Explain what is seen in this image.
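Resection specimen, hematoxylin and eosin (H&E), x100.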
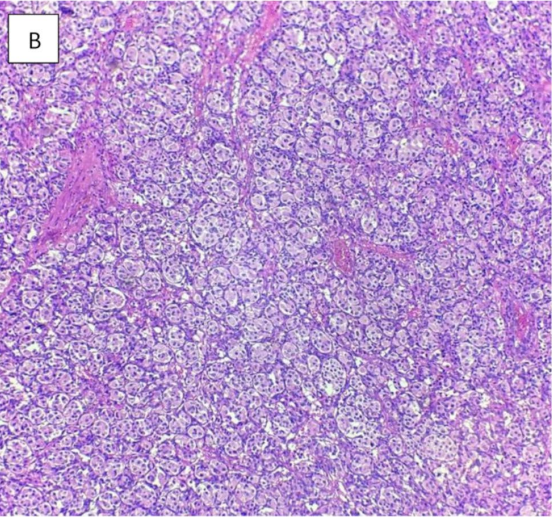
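A tumor made of many small rounded nests of pale pink epithelioid cells filling the field. Thin pink fibrovascular septa with small vessels separate the nests, and a few broader pink fibrous bands cross the tissue.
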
